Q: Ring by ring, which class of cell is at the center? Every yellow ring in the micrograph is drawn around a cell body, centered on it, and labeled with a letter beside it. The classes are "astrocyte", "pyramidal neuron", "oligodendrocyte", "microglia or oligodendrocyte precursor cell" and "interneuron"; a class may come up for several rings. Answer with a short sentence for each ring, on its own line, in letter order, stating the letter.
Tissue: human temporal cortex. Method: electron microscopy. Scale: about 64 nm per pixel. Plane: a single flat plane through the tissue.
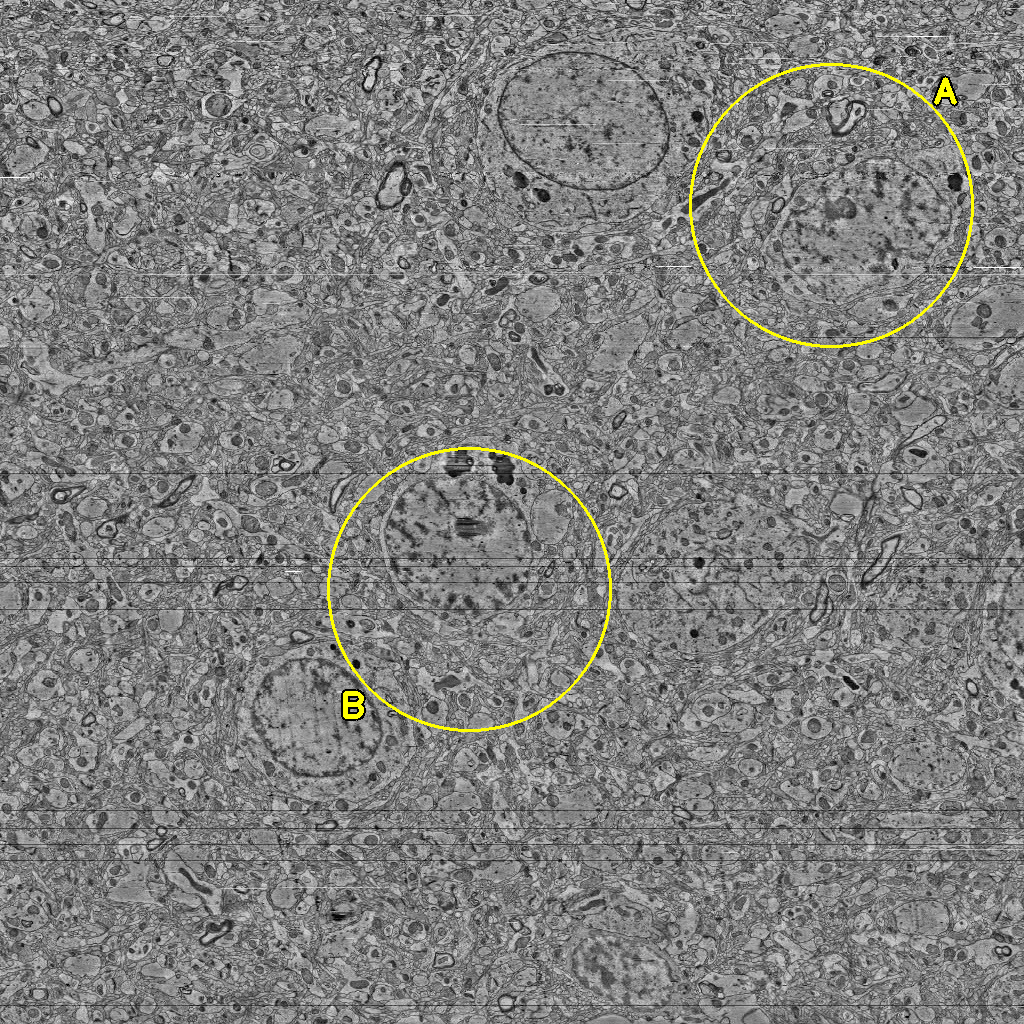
Ring A holds an interneuron at its center.
Ring B holds an interneuron at its center.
